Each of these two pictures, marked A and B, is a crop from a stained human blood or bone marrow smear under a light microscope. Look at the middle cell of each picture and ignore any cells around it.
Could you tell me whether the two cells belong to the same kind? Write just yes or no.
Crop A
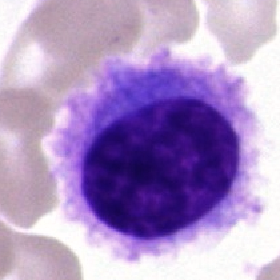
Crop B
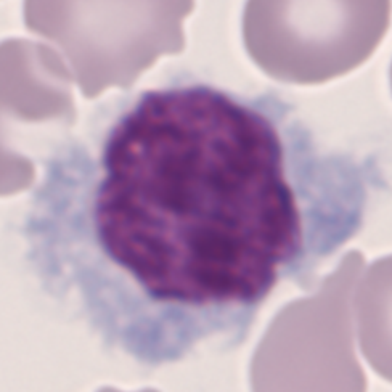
yes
